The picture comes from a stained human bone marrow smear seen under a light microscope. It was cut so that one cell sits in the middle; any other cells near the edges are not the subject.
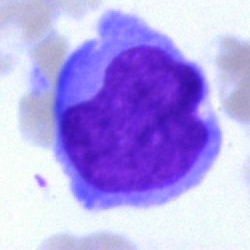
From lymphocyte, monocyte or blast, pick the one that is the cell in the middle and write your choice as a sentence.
The cell of interest, located centrally, is a blast.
